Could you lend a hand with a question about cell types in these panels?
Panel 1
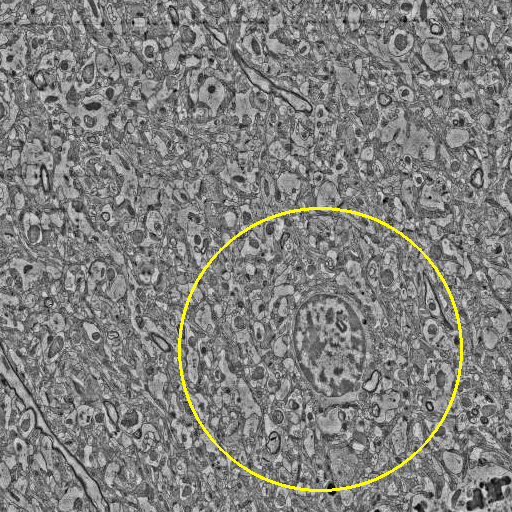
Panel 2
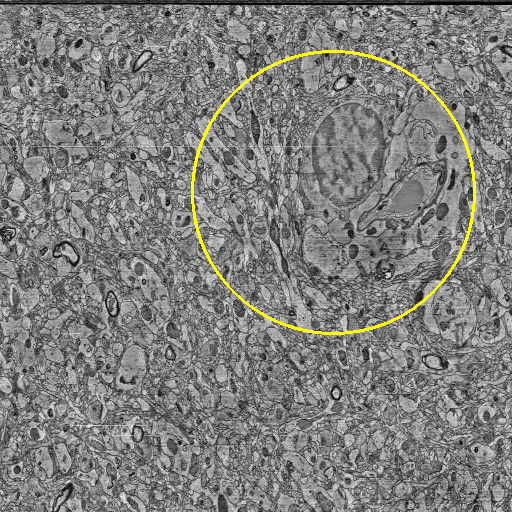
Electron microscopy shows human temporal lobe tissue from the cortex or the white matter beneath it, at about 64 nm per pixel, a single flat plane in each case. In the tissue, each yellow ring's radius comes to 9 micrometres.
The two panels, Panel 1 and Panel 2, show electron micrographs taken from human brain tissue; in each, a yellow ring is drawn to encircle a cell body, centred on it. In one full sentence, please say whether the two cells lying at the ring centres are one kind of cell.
Yes, the cells at the ring centres in the two panels are one kind of cell.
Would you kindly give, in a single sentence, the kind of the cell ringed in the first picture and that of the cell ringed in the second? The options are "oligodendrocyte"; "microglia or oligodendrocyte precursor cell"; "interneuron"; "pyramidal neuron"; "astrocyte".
In each of the two pictures, the ringed cell is an oligodendrocyte.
